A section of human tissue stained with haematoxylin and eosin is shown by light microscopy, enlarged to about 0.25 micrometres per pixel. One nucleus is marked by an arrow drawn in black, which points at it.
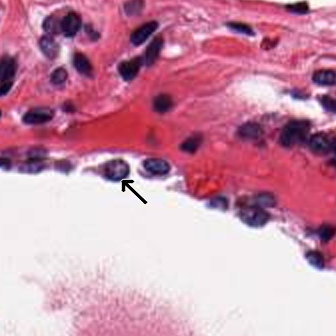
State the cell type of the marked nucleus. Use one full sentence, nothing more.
The marked nucleus is that of a thyroid follicular cell.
